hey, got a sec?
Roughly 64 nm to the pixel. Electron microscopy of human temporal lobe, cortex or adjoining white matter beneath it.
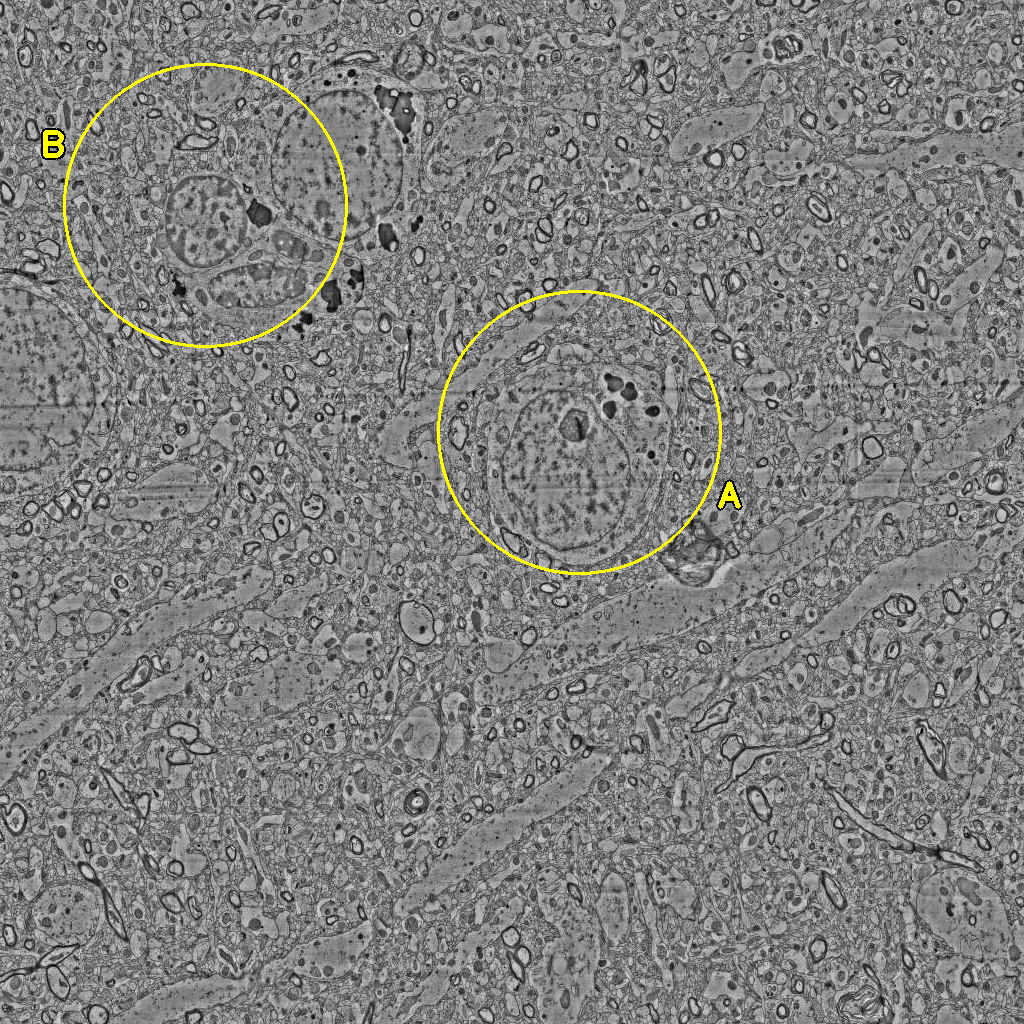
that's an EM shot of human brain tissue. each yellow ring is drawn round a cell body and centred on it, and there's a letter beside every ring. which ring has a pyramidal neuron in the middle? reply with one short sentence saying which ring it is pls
Ring A is the one centred on it.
